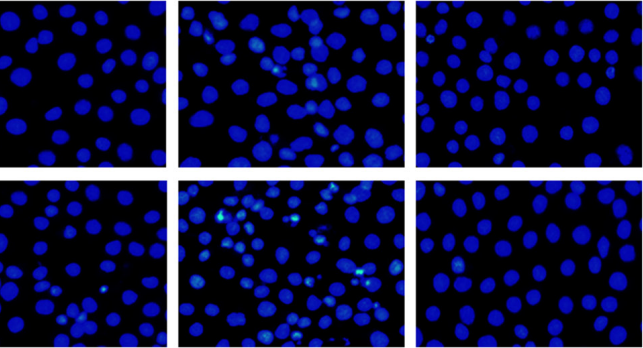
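Most nuclei are round to oval, of similar size, evenly stained and scattered as single, non-overlapping bodies. In some images, especially the middle column, a number of nuclei are smaller and brighter, with bright blue-green condensed or fragmented spots, consistent with apoptotic nuclear change. These bright nuclei are more frequent in the lower middle image. In the right-hand images and the upper left image, nearly all nuclei look uniform, with few or no bright condensed spots.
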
